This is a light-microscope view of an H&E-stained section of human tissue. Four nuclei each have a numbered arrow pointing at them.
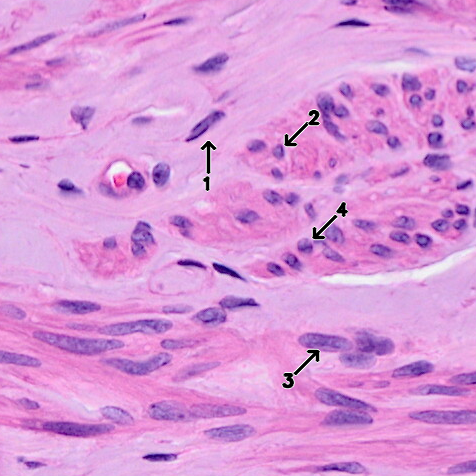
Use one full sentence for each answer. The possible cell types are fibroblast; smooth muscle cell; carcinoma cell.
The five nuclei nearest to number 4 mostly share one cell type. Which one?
The majority of the five nuclei closest to number 4 belong to smooth muscle cells.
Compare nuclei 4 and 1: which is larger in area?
Of the two, number 1 is bigger and takes up about 2.5 times the area of number 4.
